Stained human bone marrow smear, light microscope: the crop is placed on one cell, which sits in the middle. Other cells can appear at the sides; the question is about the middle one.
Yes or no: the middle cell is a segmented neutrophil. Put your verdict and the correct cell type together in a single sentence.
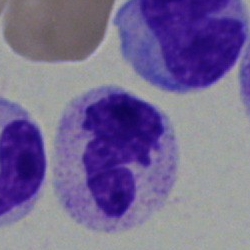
Yes, at the centre of the crop lies a segmented neutrophil.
